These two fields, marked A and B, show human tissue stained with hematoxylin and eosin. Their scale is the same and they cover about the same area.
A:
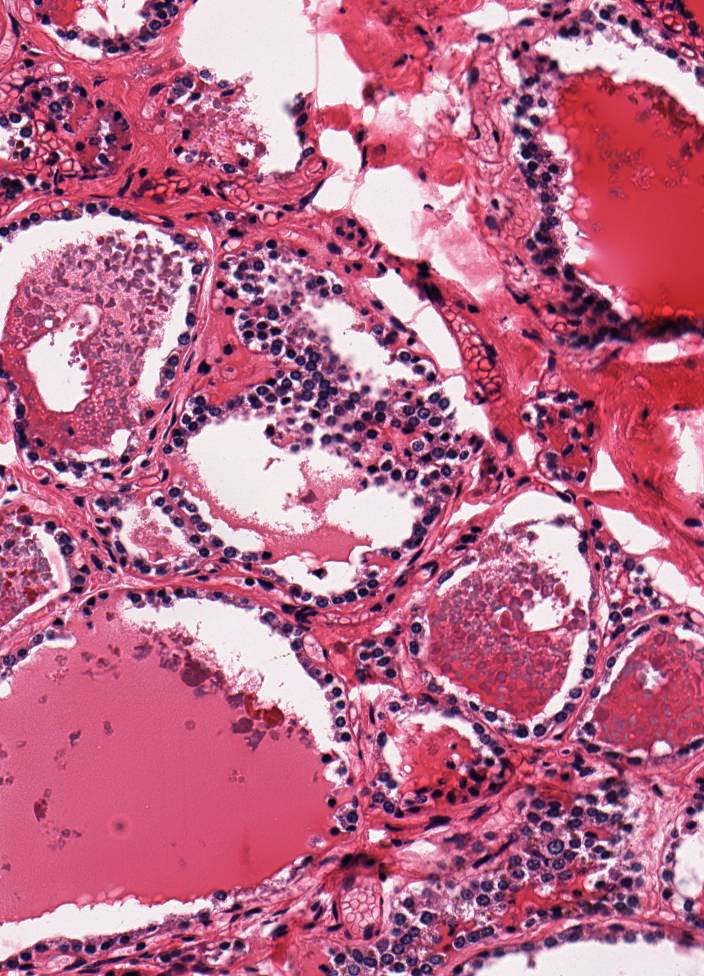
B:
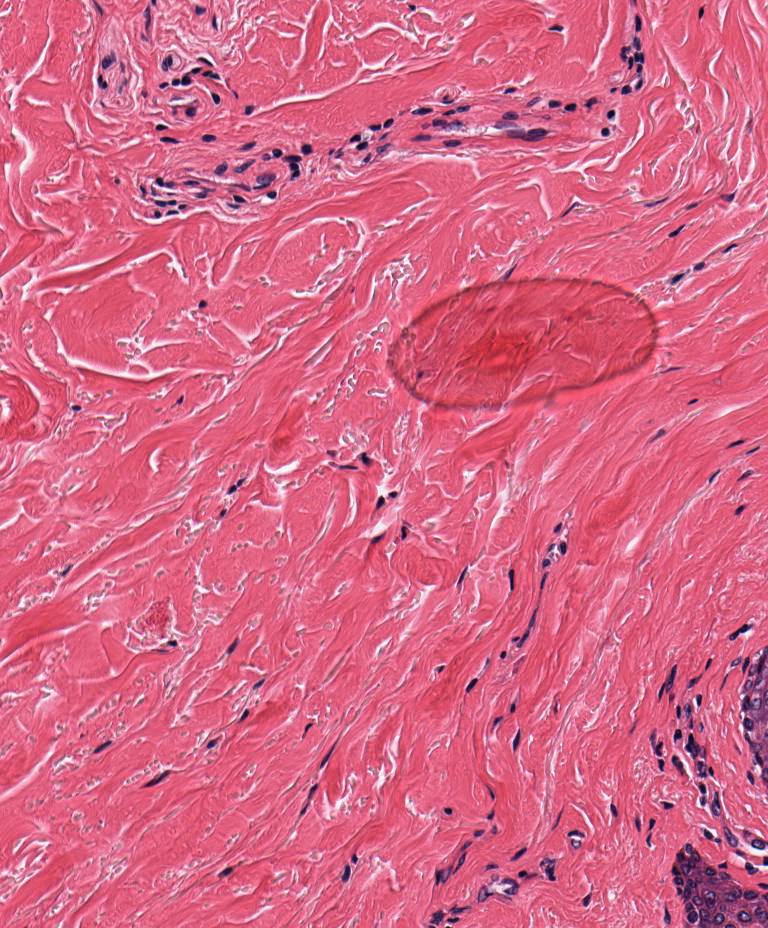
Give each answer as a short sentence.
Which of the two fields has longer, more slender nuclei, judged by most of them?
On the whole the nuclei of field B are more drawn out than those of field A.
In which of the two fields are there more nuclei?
Field A holds more nuclei than field B.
